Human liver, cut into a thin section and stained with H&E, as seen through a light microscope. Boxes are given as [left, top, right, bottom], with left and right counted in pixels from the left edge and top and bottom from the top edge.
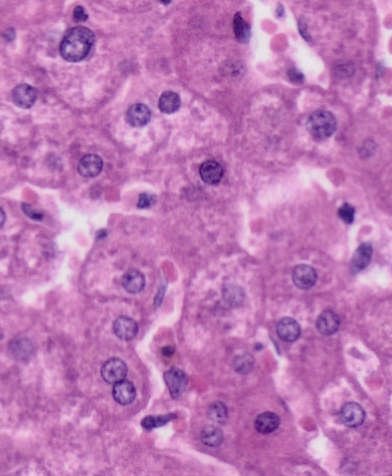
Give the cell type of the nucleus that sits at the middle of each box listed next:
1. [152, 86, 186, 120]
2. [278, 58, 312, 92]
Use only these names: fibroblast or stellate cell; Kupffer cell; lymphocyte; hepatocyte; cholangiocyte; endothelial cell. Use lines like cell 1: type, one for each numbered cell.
cell 1: hepatocyte
cell 2: Kupffer cell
